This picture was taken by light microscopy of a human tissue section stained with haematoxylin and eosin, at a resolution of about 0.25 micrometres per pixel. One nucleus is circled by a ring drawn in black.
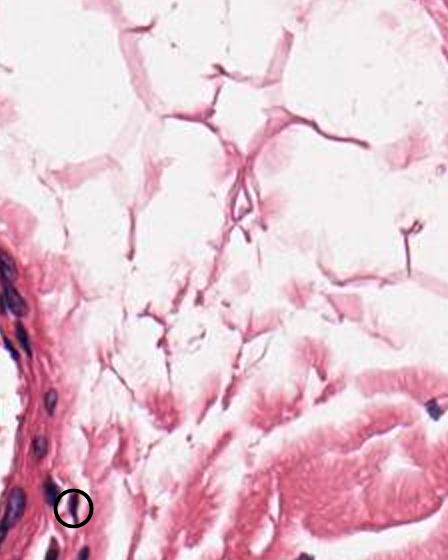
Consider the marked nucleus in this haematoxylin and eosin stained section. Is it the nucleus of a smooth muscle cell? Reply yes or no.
no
